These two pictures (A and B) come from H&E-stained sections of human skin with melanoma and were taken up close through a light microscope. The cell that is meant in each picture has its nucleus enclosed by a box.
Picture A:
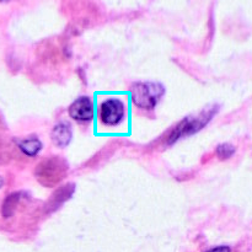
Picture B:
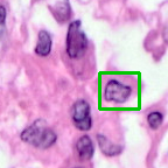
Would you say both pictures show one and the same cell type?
no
